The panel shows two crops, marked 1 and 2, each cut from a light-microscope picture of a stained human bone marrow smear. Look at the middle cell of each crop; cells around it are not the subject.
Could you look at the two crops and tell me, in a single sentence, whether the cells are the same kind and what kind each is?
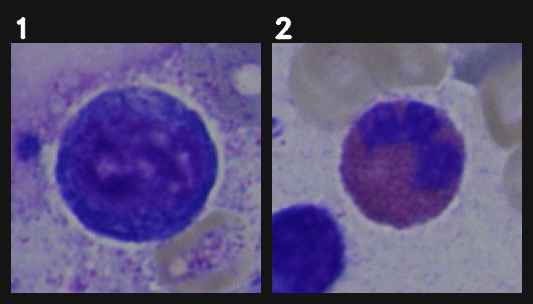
No, on this set crop 1 shows a promyelocyte and crop 2 shows an eosinophil.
